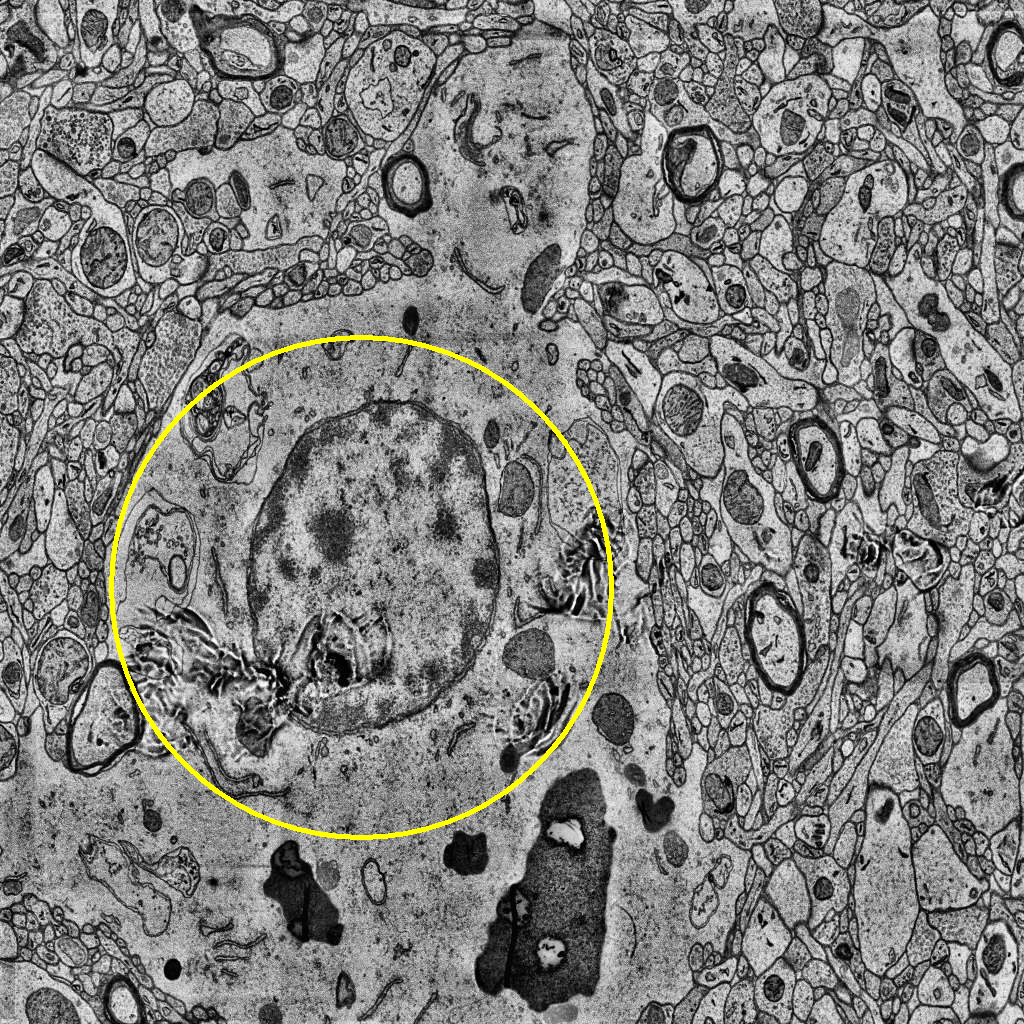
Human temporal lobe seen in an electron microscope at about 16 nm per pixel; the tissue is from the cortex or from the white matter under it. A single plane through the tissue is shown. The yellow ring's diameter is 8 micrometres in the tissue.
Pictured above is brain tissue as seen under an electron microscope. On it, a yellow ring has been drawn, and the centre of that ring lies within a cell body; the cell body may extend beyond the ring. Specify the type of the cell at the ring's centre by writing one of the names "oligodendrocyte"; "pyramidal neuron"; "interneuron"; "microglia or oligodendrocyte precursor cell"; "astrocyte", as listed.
astrocyte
